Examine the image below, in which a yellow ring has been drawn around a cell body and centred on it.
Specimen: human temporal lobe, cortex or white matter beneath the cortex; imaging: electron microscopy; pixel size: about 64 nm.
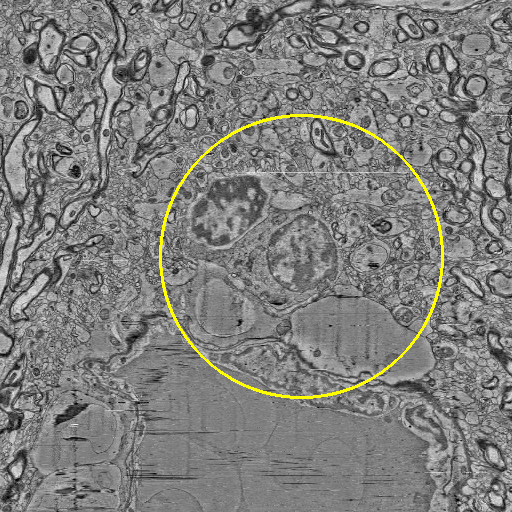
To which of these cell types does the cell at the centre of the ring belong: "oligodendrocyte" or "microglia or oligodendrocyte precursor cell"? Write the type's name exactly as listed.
oligodendrocyte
